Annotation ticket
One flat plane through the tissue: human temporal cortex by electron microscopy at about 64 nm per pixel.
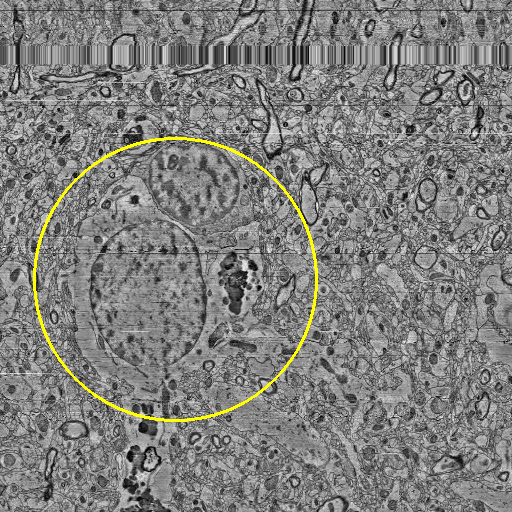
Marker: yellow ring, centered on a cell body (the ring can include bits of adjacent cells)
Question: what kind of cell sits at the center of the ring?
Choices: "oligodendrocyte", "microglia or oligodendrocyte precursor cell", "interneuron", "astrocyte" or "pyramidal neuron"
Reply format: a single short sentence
The ring is centered on an astrocyte.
